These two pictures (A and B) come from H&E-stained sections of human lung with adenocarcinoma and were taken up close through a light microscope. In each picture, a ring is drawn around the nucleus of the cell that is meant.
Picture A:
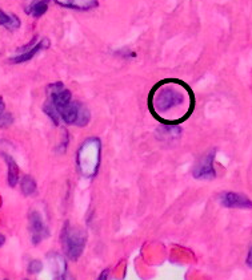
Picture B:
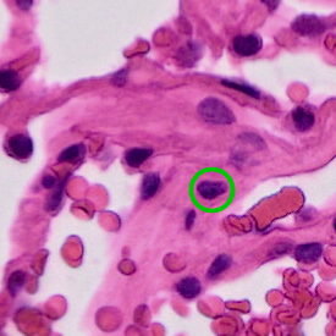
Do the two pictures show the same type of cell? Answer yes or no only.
yes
